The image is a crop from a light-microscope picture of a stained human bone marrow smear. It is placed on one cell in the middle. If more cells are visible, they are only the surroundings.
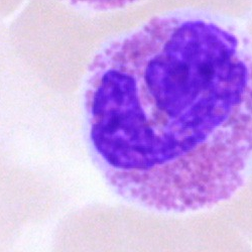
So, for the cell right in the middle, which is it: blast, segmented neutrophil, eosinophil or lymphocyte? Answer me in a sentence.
Here the centrally located cell is an eosinophil.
